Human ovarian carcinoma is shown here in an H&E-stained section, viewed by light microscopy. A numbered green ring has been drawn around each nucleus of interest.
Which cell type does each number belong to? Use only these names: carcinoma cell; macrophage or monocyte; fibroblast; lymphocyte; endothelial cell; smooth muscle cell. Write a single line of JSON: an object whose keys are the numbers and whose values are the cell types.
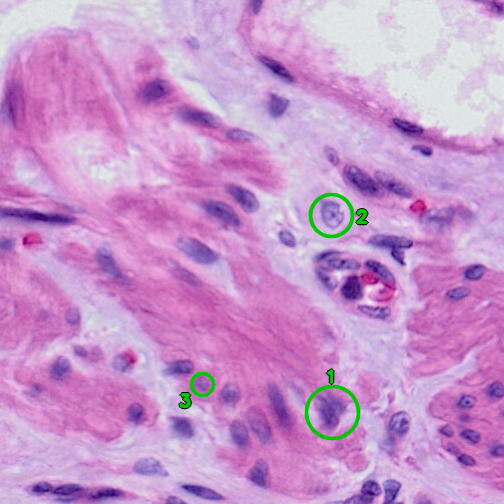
{"1": "smooth muscle cell", "2": "fibroblast", "3": "smooth muscle cell"}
